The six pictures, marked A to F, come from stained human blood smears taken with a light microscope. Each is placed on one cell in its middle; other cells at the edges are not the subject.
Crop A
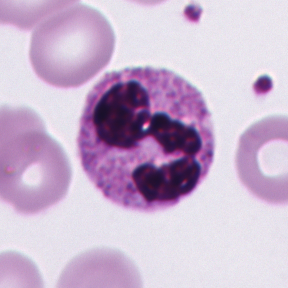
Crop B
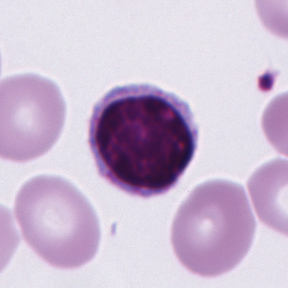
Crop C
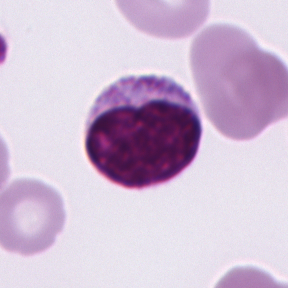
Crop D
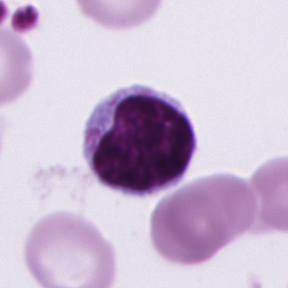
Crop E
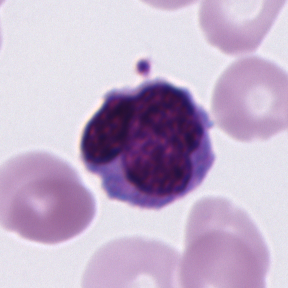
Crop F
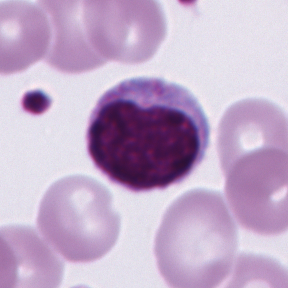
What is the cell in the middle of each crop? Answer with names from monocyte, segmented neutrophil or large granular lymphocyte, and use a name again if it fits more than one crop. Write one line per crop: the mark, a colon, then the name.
A: segmented neutrophil
B: large granular lymphocyte
C: large granular lymphocyte
D: large granular lymphocyte
E: monocyte
F: large granular lymphocyte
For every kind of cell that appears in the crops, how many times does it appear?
large granular lymphocyte: 4
segmented neutrophil: 1
monocyte: 1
